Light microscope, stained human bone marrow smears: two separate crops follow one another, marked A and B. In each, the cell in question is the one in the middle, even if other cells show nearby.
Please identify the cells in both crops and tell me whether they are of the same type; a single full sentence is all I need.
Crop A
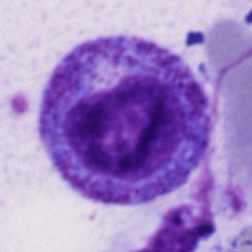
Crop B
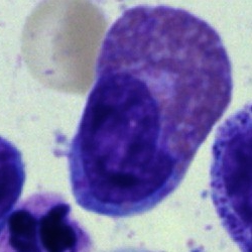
No, in crop A there is a promyelocyte, and in crop B there is an eosinophil.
